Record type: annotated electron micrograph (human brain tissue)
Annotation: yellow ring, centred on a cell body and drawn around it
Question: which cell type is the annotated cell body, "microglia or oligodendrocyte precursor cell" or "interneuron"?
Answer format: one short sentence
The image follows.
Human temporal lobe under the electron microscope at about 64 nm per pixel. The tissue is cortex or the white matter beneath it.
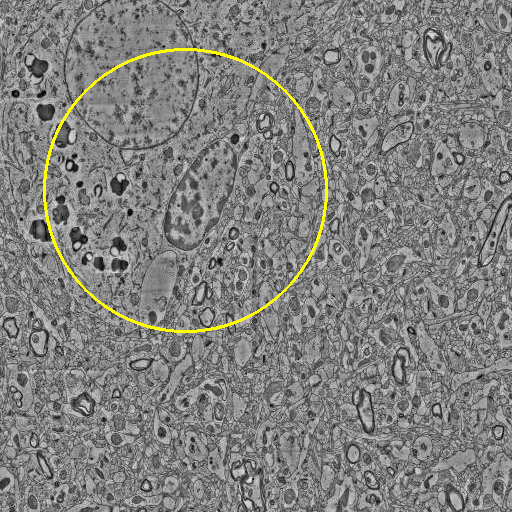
The annotated cell body is that of a microglial cell or oligodendrocyte precursor cell.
